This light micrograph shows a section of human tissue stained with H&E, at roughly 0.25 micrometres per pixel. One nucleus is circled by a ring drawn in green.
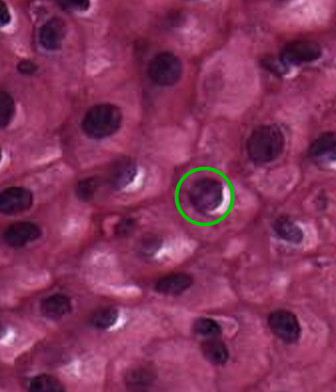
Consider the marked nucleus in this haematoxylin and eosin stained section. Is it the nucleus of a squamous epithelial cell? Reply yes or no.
yes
